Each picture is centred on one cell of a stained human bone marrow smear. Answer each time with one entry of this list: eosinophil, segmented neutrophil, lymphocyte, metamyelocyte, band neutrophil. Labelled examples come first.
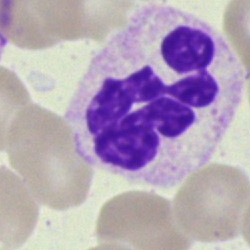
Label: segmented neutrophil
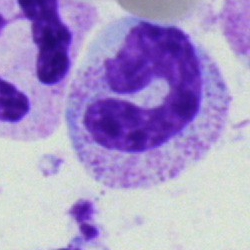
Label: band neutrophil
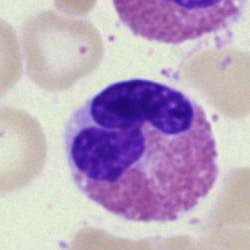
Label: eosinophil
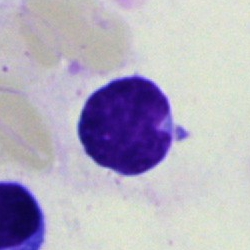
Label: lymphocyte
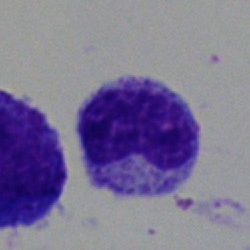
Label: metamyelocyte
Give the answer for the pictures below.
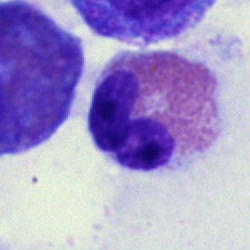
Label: eosinophil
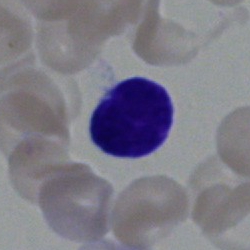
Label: lymphocyte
